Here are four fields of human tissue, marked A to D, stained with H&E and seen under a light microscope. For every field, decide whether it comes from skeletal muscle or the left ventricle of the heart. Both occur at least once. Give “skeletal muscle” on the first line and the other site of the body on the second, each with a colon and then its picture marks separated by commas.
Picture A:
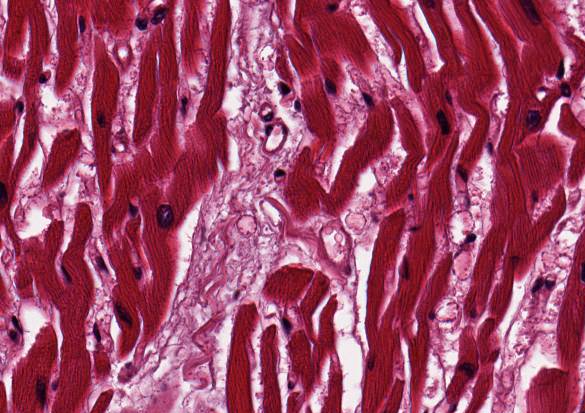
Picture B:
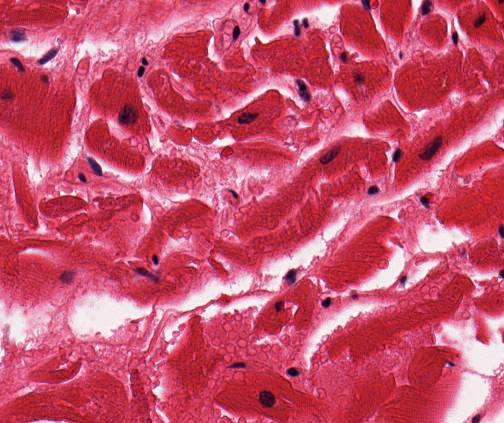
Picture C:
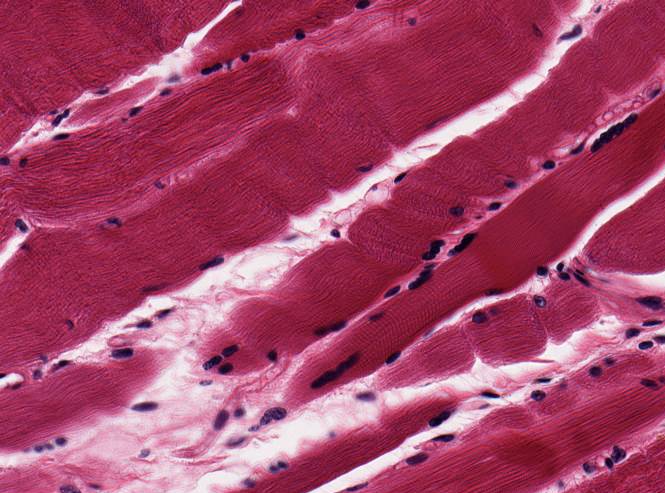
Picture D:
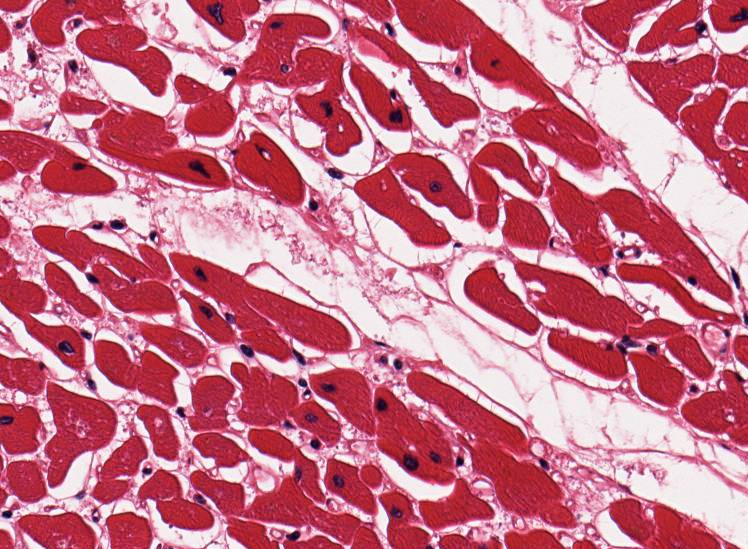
skeletal muscle: C
left ventricle of the heart: A, B, D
